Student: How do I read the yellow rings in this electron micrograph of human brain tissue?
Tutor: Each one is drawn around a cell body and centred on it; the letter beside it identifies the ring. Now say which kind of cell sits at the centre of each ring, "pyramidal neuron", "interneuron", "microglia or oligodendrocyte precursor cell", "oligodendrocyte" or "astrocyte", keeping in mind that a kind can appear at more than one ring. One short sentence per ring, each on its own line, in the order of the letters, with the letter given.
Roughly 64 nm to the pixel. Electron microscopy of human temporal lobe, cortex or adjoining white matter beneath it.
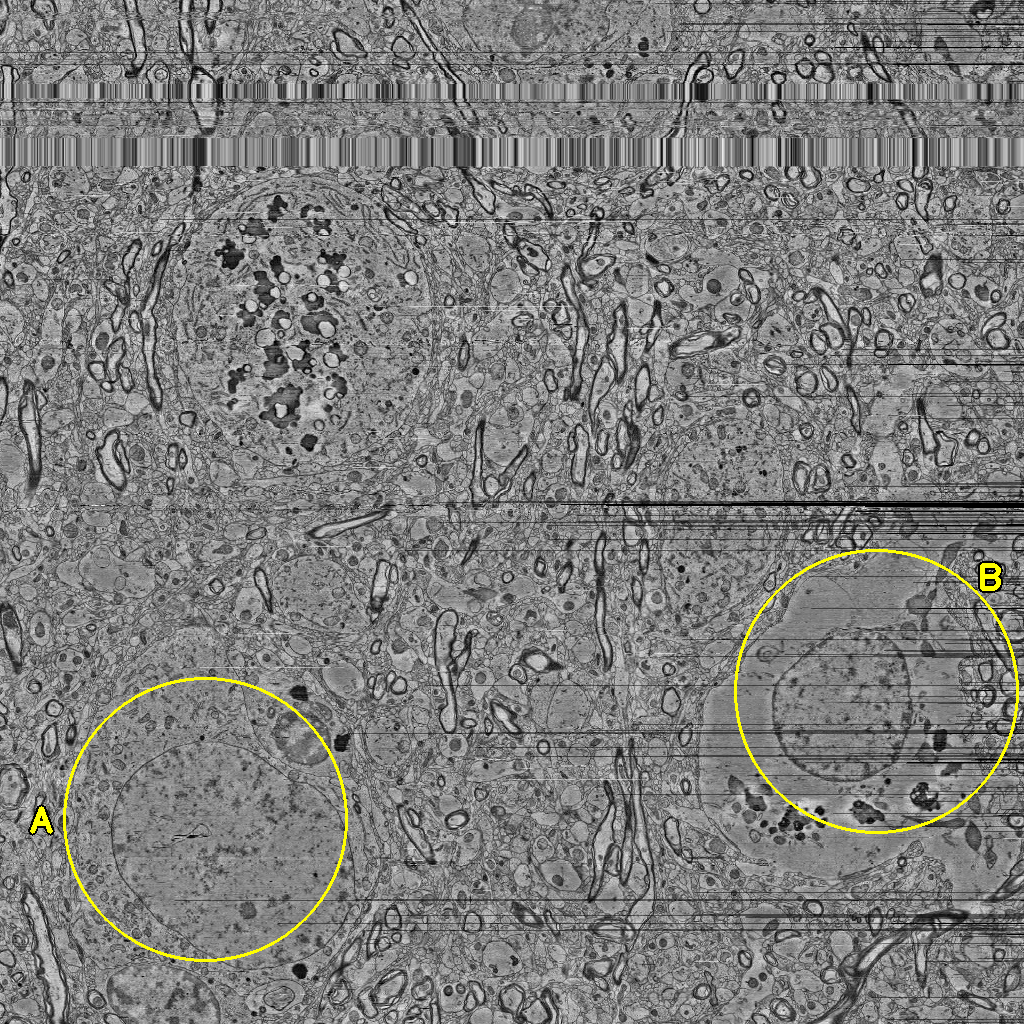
In the centre of ring A is a pyramidal neuron.
In the centre of ring B is an astrocyte.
